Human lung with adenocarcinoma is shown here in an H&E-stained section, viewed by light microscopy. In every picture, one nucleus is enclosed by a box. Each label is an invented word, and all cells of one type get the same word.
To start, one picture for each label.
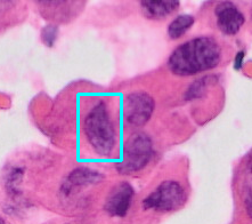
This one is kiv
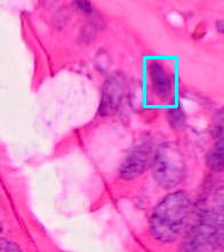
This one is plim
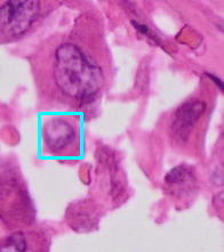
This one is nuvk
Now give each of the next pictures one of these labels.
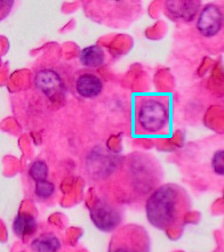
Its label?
nuvk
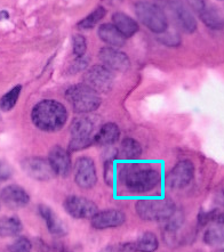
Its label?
plim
